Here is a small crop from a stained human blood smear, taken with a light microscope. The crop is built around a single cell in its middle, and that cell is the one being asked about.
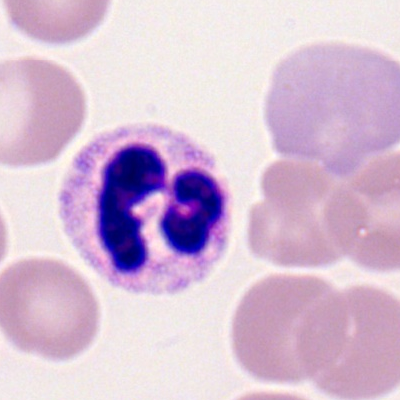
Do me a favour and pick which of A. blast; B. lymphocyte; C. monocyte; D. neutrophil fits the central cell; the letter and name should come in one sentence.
Seen at the centre of the crop is a neutrophil, so option D is correct.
